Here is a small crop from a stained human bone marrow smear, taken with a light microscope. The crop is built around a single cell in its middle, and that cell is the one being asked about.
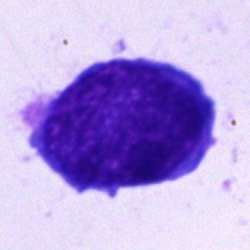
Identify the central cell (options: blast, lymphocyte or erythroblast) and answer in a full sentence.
Standing at the centre of this crop is a blast.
